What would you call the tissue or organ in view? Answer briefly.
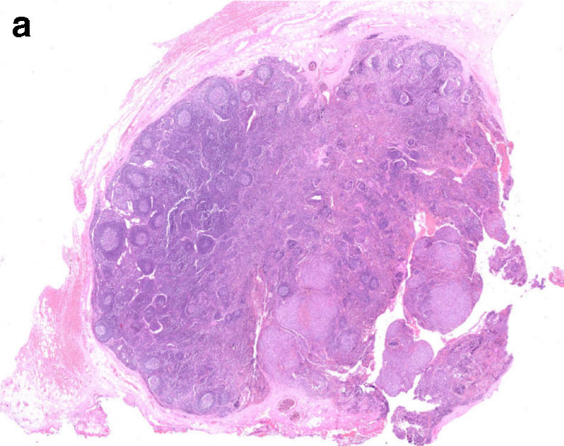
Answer: lymph node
